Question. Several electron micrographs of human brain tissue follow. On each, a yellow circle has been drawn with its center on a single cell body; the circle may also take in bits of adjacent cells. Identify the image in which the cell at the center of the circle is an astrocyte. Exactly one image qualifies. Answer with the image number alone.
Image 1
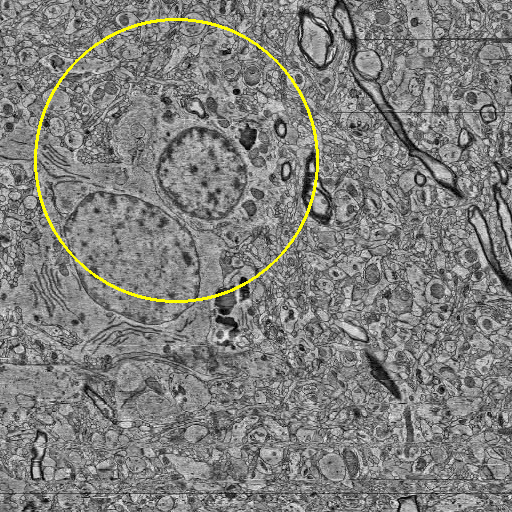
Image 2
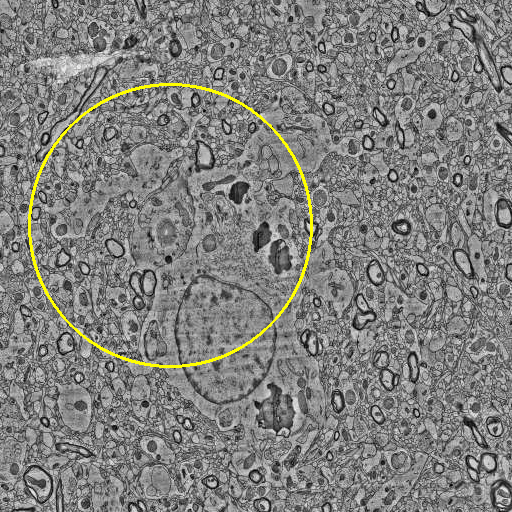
1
